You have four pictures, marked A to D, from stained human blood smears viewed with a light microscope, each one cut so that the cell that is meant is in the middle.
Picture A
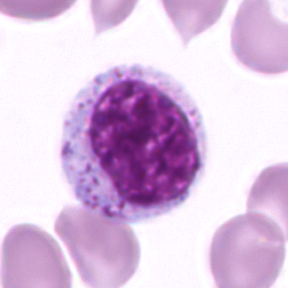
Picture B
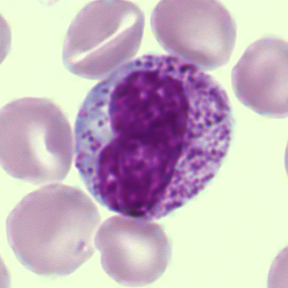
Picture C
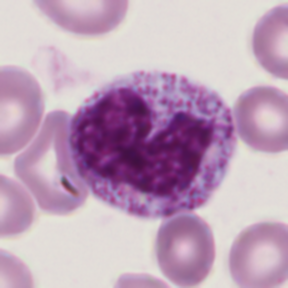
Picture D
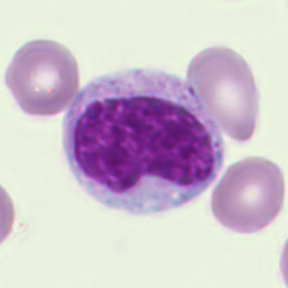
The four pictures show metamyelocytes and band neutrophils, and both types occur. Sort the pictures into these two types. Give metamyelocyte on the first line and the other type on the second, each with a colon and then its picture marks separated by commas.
metamyelocyte: A, B, D
band neutrophil: C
